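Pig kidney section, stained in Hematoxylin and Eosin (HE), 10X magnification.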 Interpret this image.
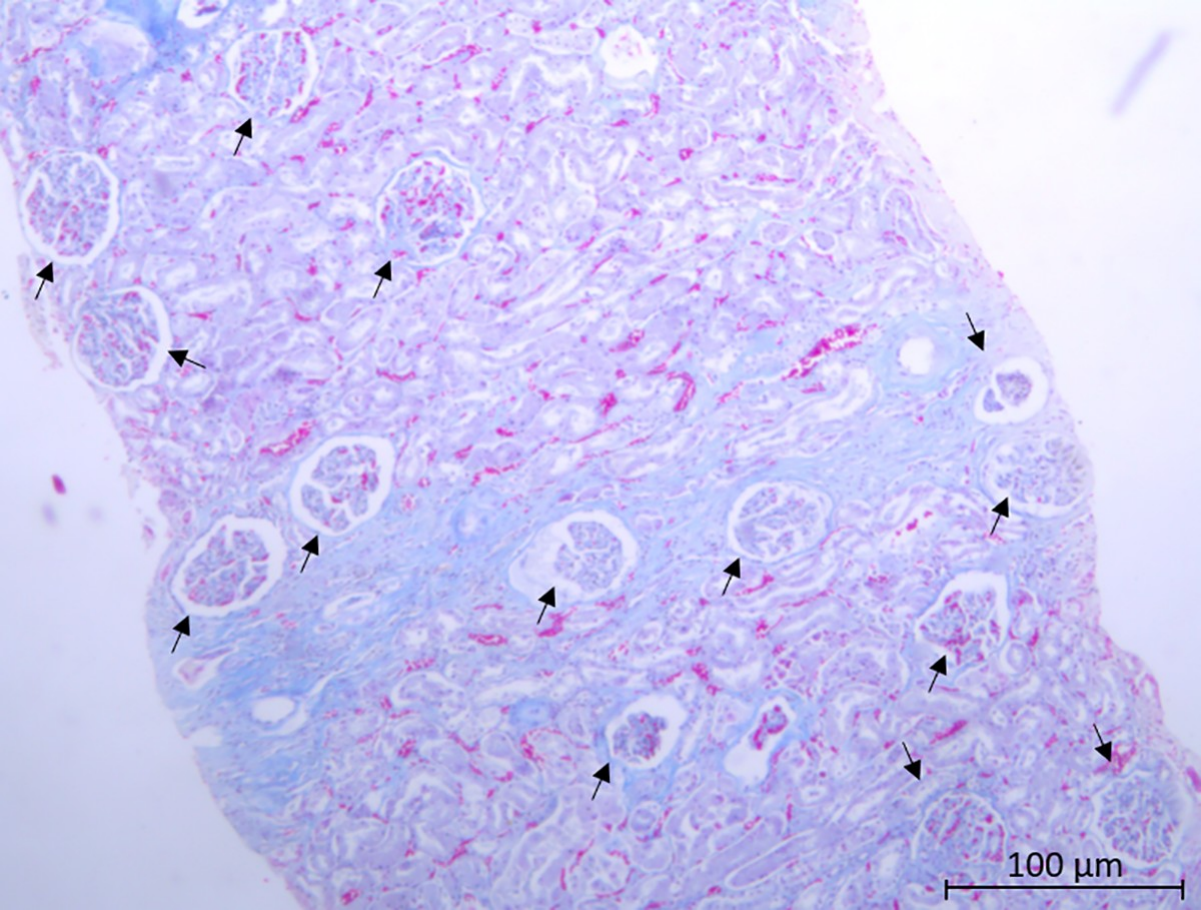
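This is a low-power view of renal cortex, with many round glomeruli scattered among densely packed tubules. Each glomerulus is a lobulated tuft of small cells and capillary loops lying inside a clear space bounded by a thin capsule. Between the glomeruli, the tubules are cut in many round and elongated profiles with pale pink-violet walls. Bands of blue-stained fibrous interstitial tissue run through the field and surround some glomeruli and vessels, and small bright red spots of blood cells lie in the capillaries between the tubules.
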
